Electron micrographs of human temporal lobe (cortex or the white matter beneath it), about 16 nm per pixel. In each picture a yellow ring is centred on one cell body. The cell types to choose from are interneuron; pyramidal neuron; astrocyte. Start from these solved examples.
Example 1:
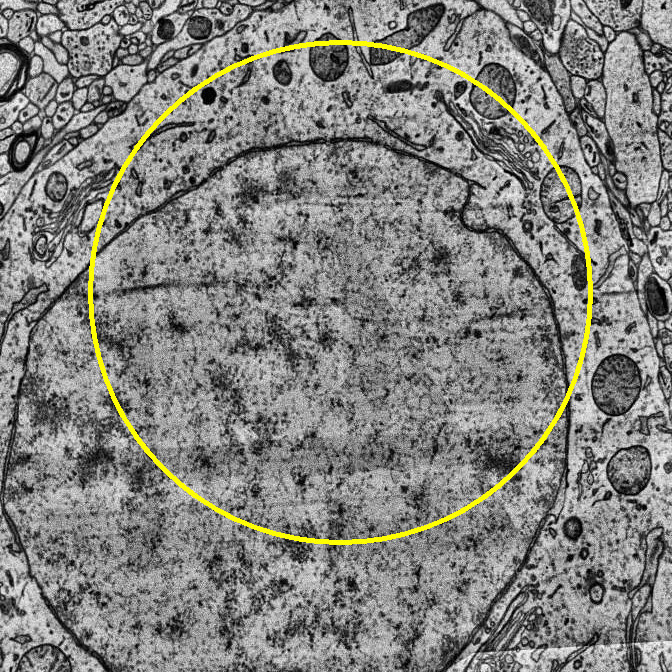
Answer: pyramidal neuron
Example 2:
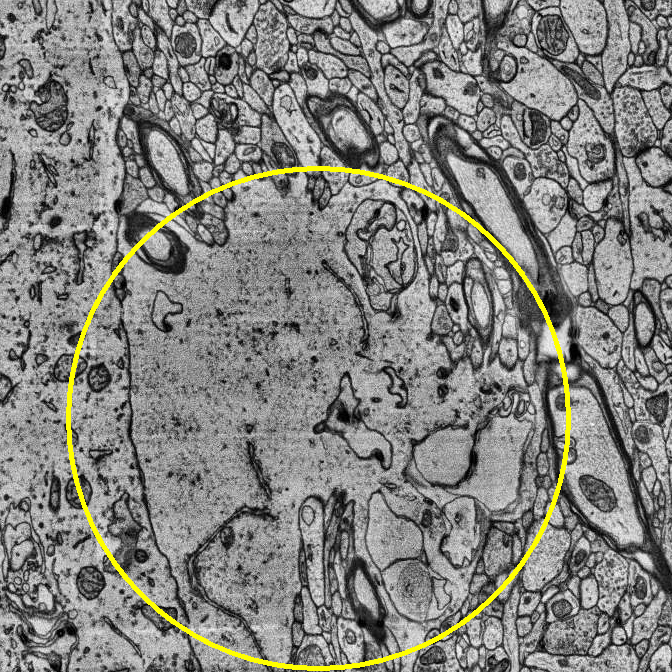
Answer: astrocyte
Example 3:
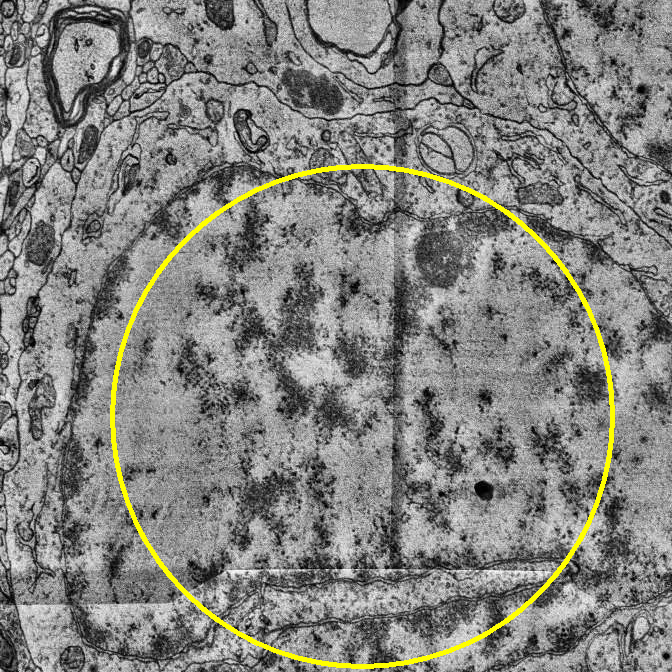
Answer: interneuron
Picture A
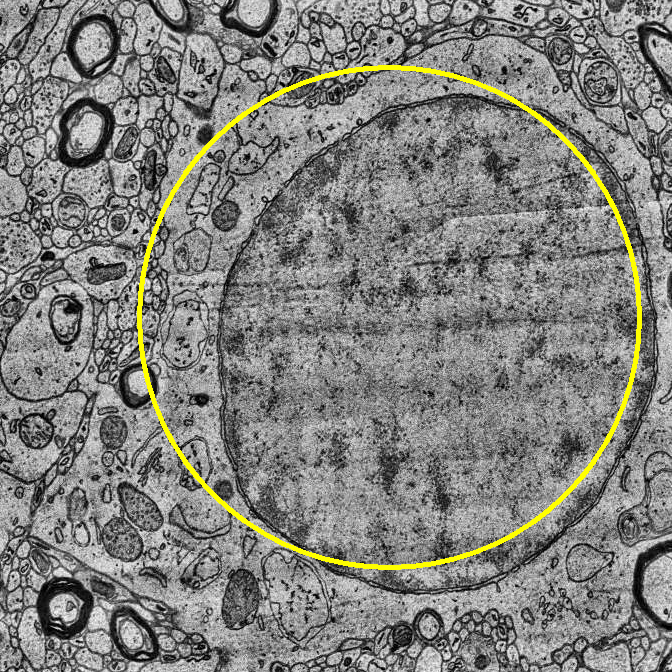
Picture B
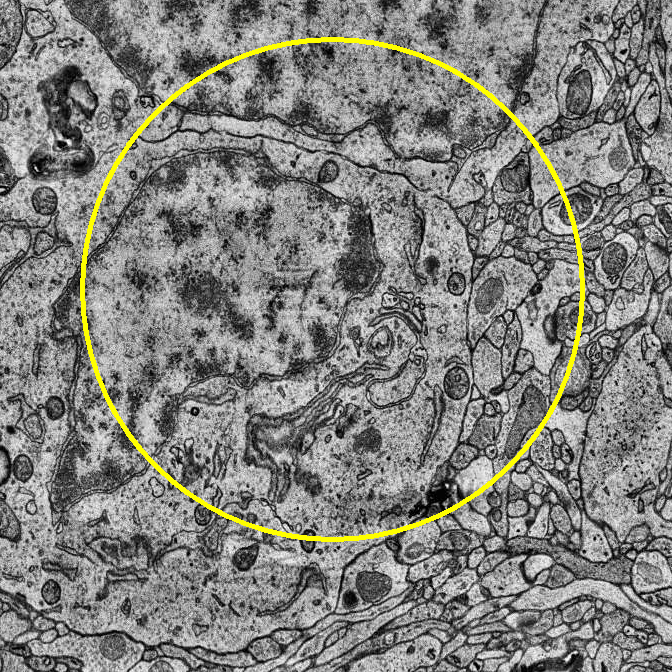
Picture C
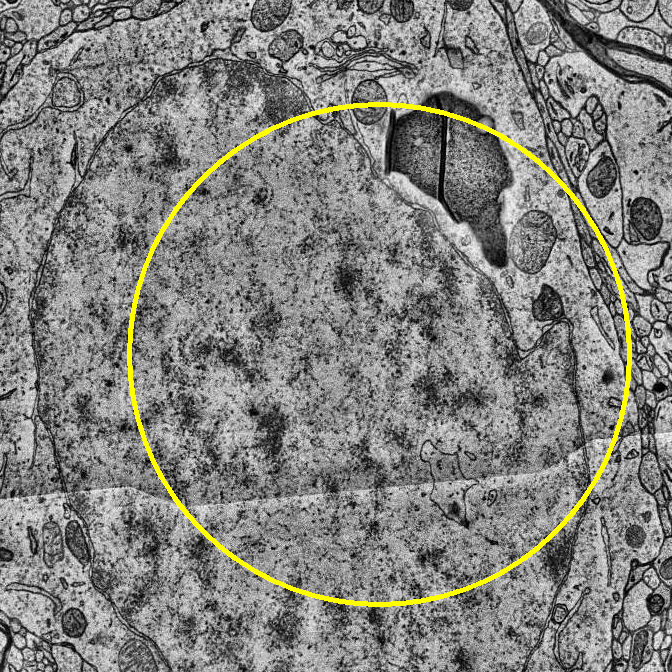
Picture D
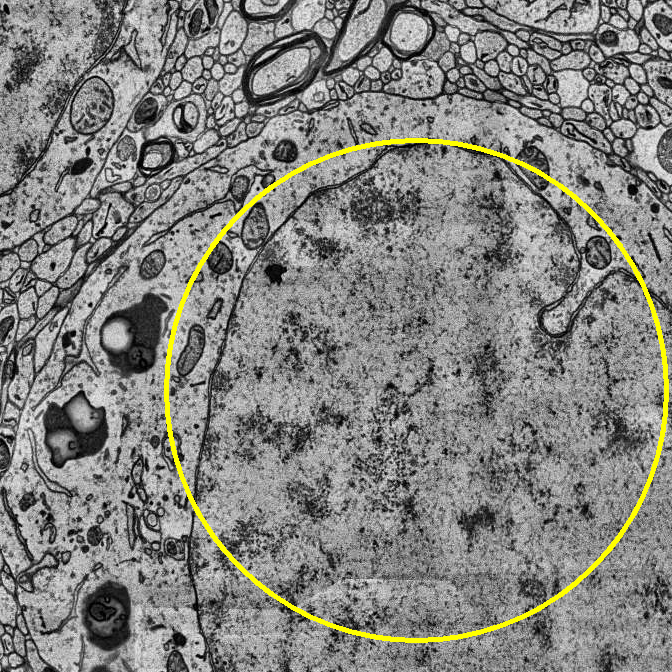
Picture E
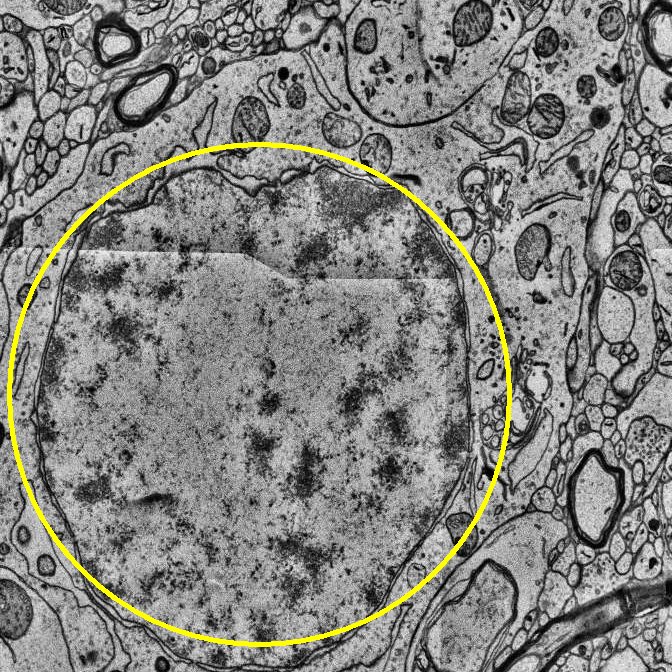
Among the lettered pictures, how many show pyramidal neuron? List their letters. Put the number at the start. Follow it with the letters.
1: D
